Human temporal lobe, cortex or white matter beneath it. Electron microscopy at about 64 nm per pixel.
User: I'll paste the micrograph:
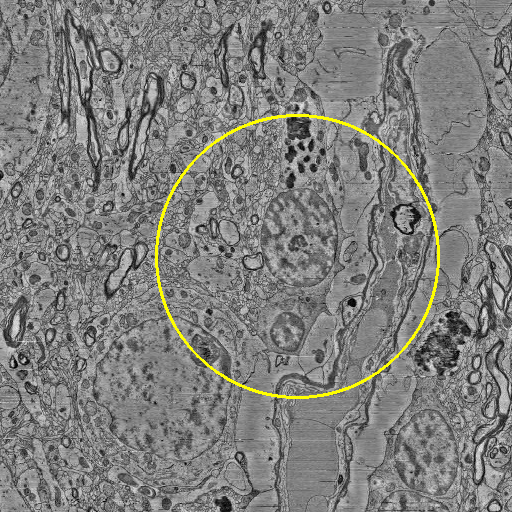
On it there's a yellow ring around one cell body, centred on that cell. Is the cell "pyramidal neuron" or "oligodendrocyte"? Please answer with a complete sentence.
The cell ringed in yellow is an oligodendrocyte.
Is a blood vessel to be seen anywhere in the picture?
Yes, one shows.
